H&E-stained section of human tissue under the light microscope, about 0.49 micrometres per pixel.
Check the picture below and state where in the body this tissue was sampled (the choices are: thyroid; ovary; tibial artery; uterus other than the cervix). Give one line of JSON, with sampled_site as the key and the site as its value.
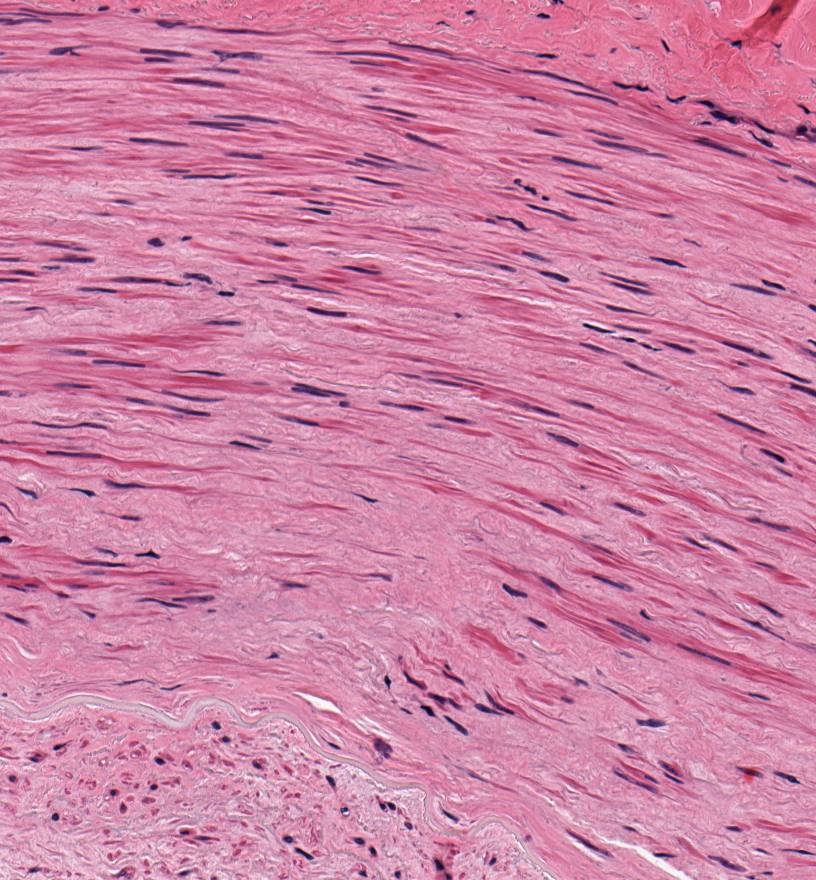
{"sampled_site": "tibial artery"}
